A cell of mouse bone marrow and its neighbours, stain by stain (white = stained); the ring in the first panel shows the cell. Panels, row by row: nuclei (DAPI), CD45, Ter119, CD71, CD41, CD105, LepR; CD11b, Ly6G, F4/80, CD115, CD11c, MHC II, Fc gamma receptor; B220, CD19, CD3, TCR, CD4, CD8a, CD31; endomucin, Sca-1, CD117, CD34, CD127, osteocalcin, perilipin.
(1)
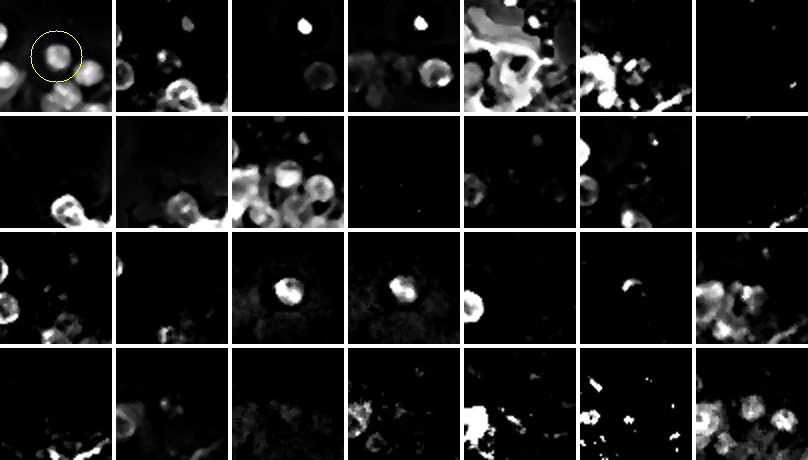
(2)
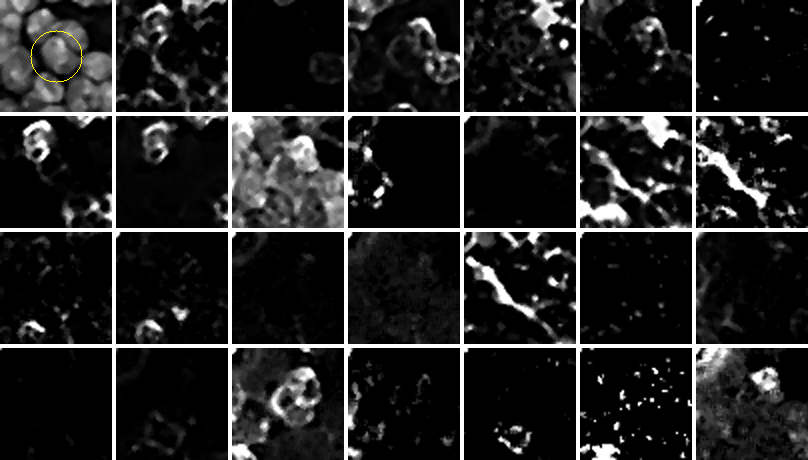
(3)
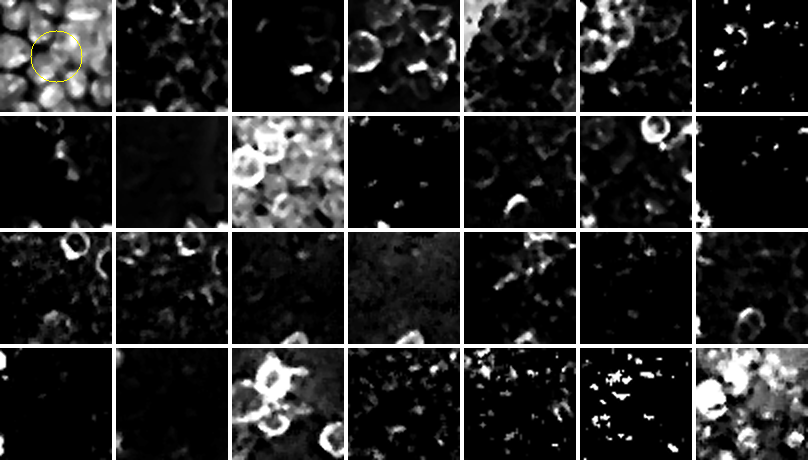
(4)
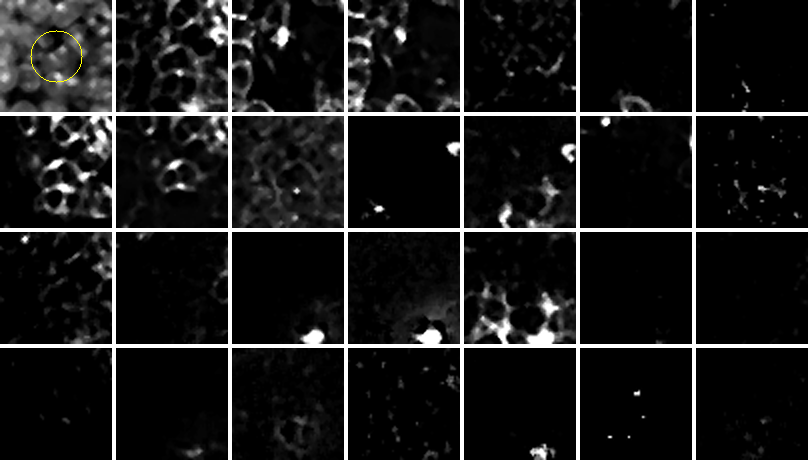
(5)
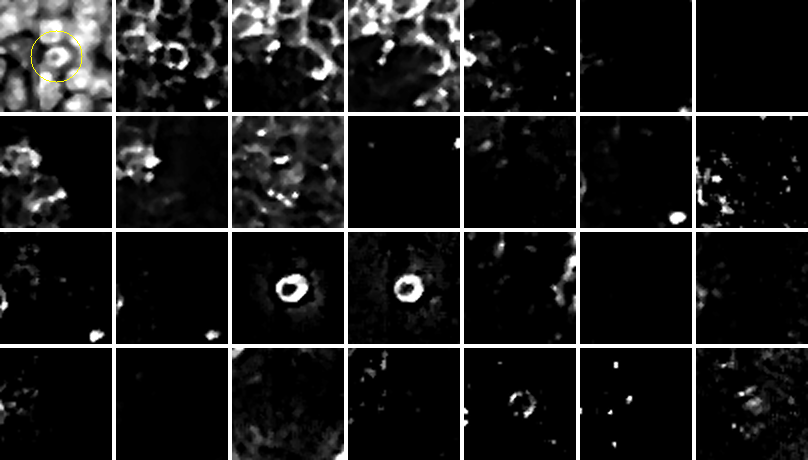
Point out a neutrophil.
That is picture 4.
